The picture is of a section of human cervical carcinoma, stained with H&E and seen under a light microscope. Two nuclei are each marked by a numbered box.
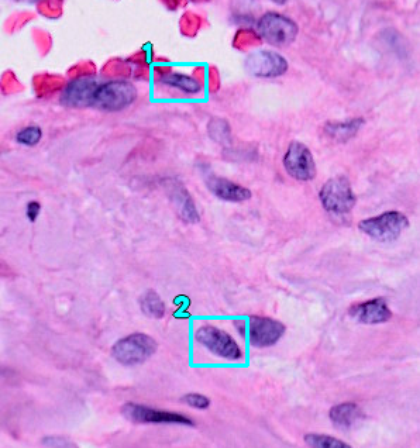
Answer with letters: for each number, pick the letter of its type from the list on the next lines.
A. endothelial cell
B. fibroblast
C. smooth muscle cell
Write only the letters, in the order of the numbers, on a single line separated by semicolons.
A; B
